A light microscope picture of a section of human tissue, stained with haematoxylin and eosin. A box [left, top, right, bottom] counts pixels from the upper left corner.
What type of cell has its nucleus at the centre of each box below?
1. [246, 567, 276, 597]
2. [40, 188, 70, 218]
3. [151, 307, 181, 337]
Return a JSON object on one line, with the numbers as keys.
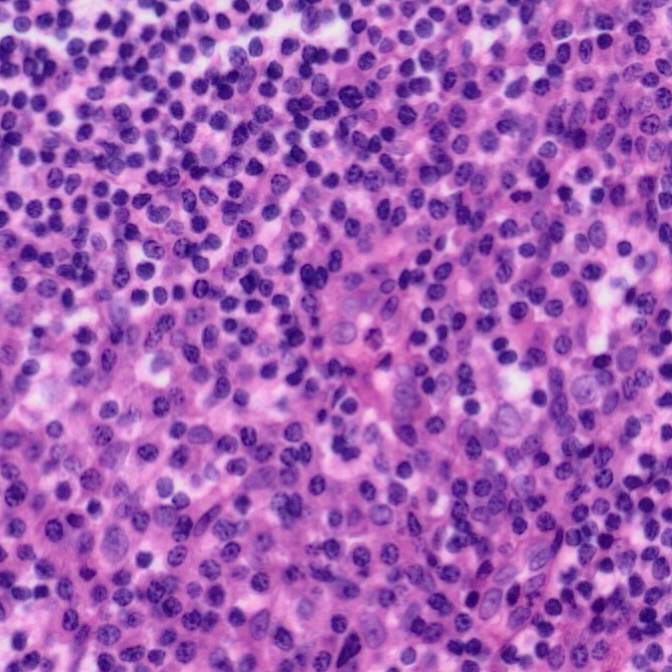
{"1": "plasma cell", "2": "small lymphocyte", "3": "plasma cell"}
